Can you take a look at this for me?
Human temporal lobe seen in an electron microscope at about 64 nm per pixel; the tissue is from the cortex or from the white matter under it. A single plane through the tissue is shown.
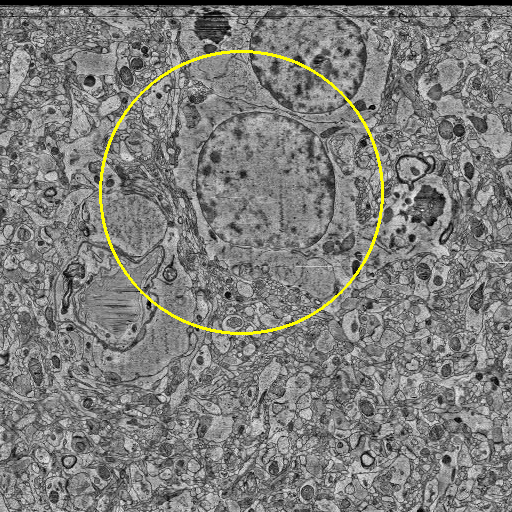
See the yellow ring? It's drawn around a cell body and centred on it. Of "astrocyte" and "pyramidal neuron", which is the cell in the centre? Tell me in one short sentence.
The one in the centre is an astrocyte.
